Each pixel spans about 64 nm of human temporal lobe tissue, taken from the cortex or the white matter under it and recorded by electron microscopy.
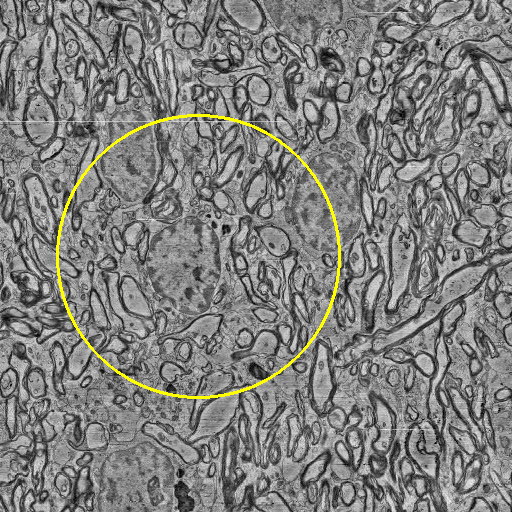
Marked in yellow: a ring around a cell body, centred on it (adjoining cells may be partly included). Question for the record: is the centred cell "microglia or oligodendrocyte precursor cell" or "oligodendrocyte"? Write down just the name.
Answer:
microglia or oligodendrocyte precursor cell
